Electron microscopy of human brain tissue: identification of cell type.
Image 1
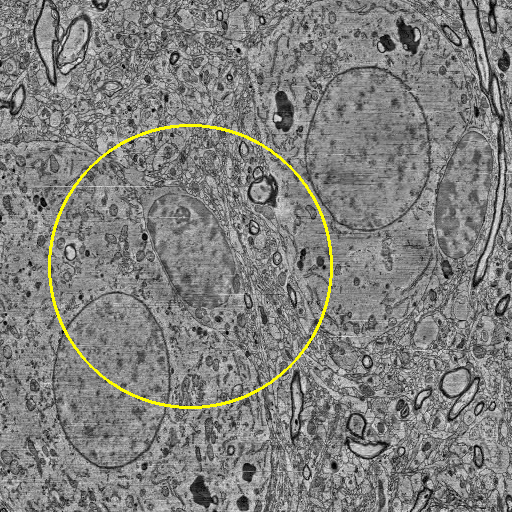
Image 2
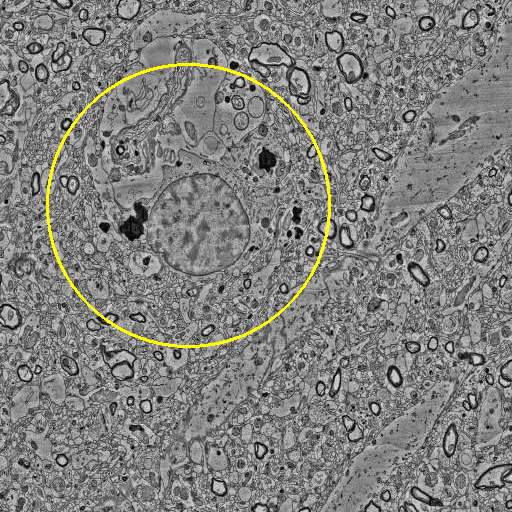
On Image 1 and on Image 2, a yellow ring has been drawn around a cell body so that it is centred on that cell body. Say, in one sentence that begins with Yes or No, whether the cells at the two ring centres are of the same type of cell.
Yes, both cells are the same type of cell.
